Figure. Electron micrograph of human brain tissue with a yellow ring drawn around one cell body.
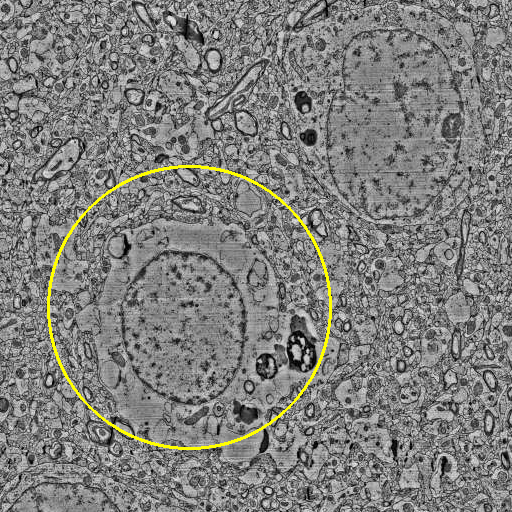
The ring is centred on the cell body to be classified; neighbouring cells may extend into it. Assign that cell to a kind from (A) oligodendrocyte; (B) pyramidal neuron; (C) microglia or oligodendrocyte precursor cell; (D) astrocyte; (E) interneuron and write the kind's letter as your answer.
D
